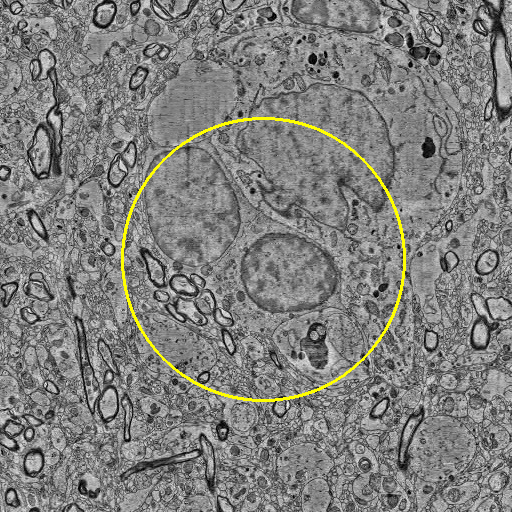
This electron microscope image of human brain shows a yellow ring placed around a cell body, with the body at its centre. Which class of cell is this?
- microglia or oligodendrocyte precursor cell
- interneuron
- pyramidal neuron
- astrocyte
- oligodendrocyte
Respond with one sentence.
The cell body at the ring's centre is an oligodendrocyte.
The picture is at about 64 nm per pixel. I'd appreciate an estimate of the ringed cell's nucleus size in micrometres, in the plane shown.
Approximately 6 micrometres long and 5 micrometres wide, in this plane.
